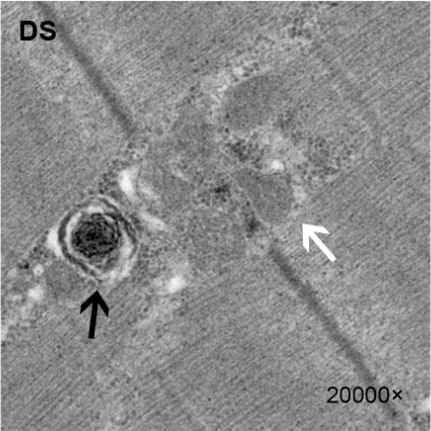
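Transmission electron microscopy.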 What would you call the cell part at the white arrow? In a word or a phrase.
Mitochondria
